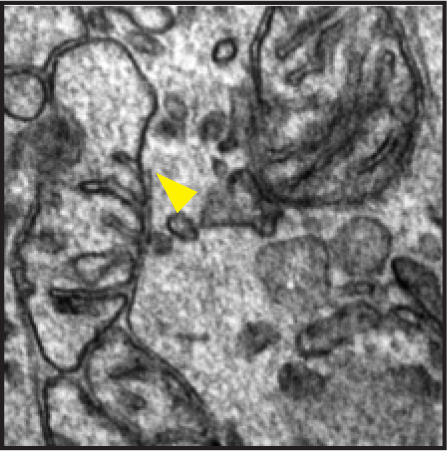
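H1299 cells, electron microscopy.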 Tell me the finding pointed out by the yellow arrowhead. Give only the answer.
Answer: Breaks in the outer mitochondrial membrane.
